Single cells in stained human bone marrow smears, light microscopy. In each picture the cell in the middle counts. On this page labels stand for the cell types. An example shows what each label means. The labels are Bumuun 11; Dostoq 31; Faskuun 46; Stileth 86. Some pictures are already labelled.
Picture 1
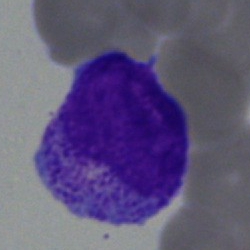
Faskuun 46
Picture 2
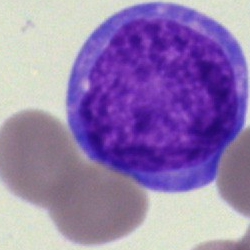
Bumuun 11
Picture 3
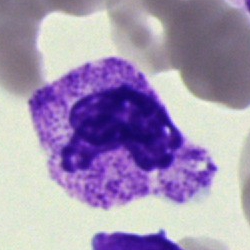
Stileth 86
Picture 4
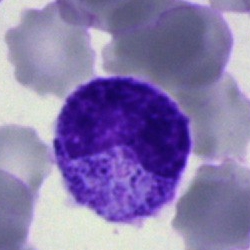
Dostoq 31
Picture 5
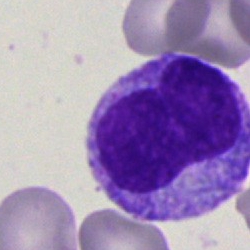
Dostoq 31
